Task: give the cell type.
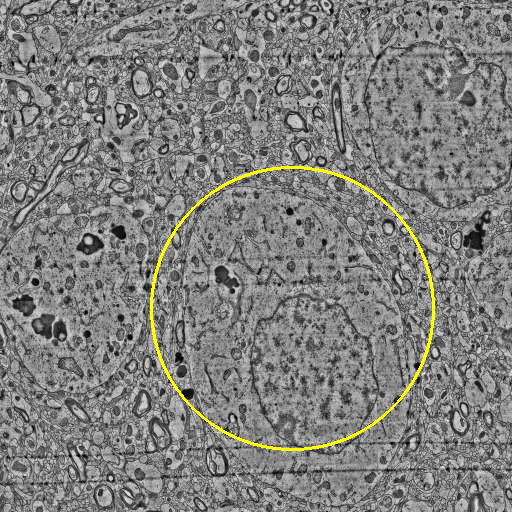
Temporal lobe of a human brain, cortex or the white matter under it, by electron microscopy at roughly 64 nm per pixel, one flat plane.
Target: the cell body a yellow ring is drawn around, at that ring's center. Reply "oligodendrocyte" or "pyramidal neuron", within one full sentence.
In this picture, the cell whose body lies at the ring's center is a pyramidal neuron.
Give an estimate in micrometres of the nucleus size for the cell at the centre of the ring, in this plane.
Roughly 10 micrometres by 8 micrometres, in this plane.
